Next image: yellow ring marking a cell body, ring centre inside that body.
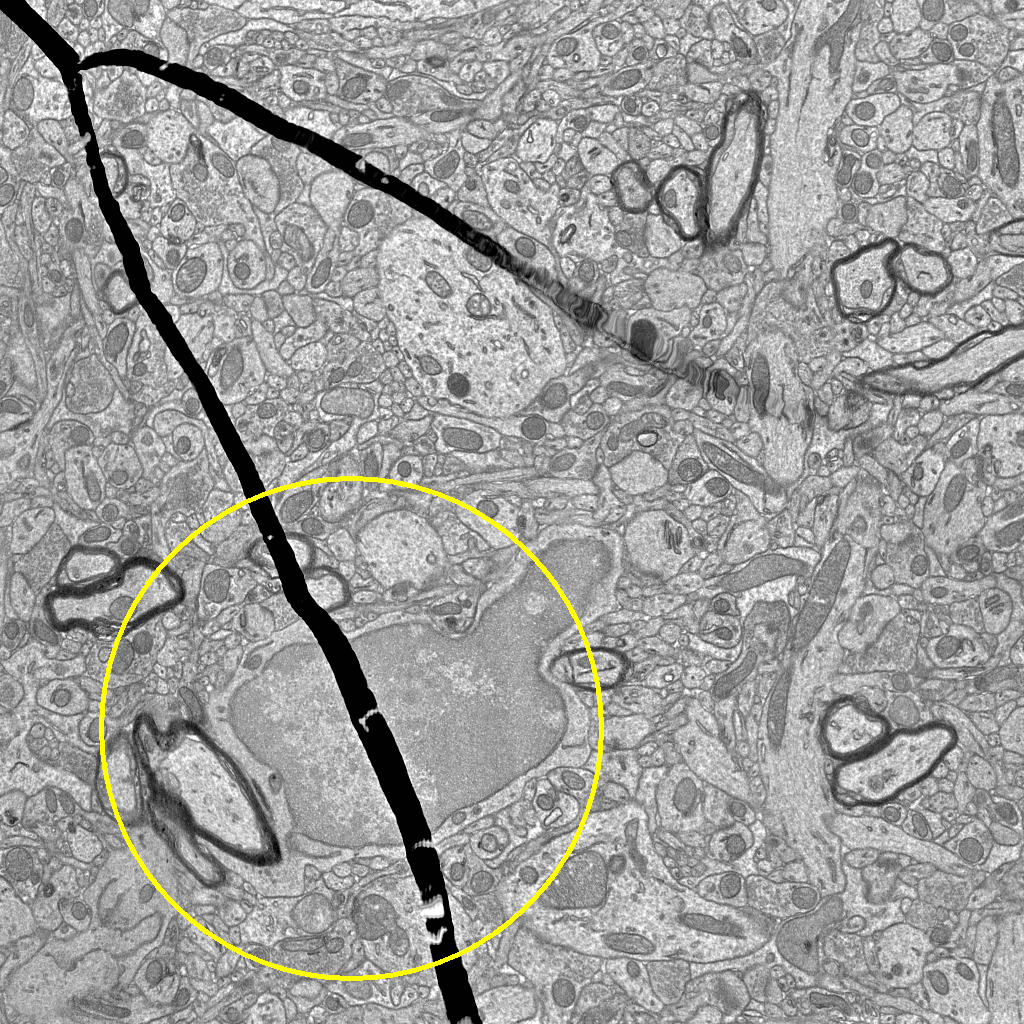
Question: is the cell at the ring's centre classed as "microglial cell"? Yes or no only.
yes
